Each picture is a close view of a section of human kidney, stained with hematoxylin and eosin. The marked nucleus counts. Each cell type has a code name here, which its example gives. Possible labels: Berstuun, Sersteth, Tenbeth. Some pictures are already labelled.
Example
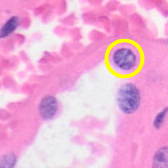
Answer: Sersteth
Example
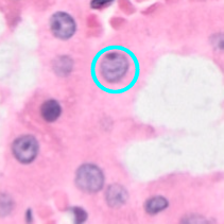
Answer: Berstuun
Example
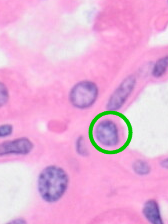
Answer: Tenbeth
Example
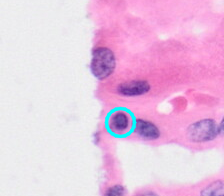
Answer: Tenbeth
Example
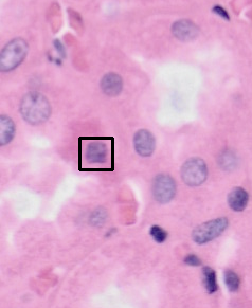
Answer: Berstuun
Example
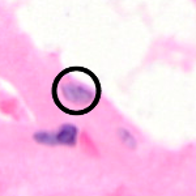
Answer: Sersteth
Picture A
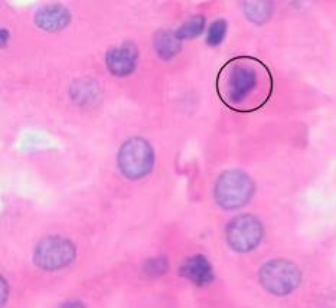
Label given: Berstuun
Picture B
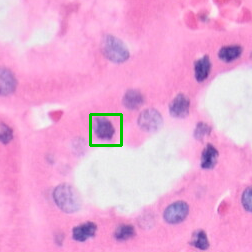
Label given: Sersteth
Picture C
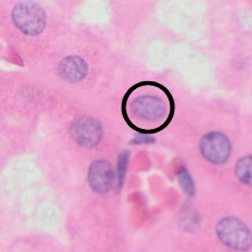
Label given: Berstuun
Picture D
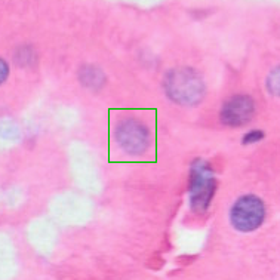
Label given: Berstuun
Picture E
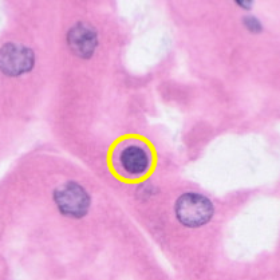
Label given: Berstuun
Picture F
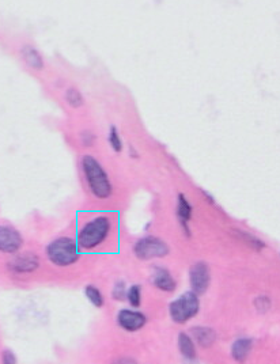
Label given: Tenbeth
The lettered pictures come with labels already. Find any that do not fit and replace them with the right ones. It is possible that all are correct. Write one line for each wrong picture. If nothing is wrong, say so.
None of the labels needs changing.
